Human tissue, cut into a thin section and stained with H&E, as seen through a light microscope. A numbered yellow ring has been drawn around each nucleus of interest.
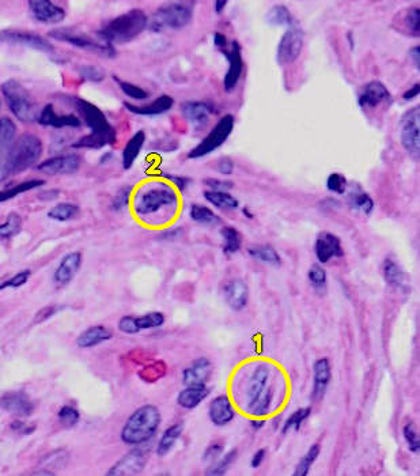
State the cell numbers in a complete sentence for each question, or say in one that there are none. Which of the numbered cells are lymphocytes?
Only the cell with number 2 is a lymphocyte.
